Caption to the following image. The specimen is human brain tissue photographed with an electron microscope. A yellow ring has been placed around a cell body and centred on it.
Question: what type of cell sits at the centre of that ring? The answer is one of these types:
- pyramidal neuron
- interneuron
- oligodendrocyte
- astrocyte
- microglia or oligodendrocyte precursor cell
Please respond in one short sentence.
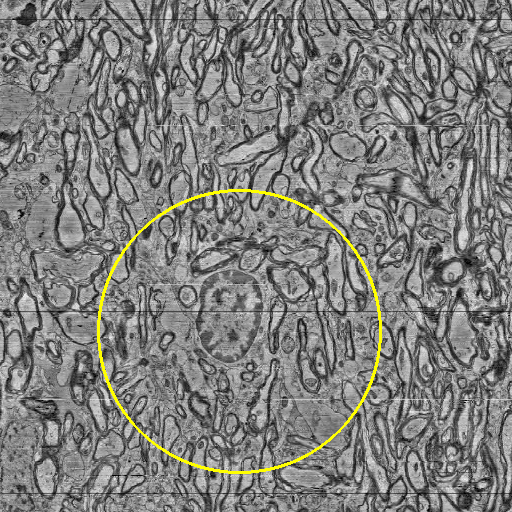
The ring surrounds the cell body of a microglial cell or oligodendrocyte precursor cell.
